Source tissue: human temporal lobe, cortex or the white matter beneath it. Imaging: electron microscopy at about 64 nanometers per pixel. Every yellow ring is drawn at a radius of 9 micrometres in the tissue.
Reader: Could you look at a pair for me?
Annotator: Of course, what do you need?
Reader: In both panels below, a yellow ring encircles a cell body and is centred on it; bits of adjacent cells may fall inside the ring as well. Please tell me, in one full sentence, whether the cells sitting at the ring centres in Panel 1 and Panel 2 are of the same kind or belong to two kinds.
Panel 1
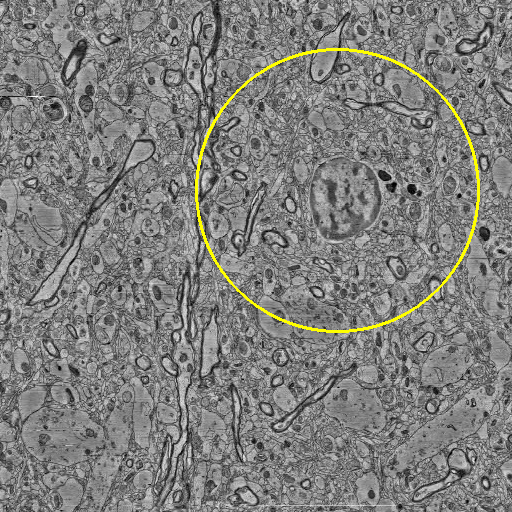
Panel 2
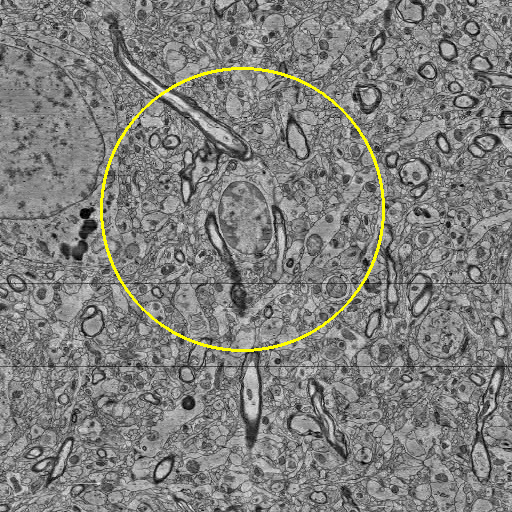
The cell at the ring's centre in Panel 1 and the one in Panel 2 are of the same kind.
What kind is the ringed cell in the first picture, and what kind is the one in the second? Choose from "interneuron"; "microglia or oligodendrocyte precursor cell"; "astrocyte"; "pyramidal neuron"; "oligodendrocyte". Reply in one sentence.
Both the first and the second picture show a microglial cell or oligodendrocyte precursor cell in the ring.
